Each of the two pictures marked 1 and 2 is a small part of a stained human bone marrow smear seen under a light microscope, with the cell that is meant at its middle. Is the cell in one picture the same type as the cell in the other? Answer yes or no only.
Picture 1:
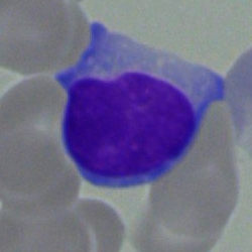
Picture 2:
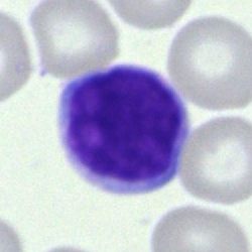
yes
